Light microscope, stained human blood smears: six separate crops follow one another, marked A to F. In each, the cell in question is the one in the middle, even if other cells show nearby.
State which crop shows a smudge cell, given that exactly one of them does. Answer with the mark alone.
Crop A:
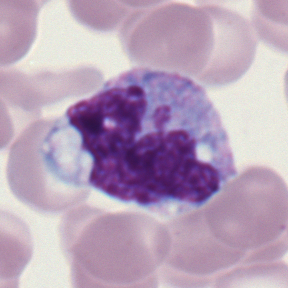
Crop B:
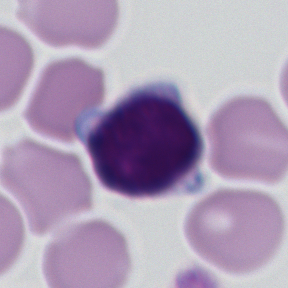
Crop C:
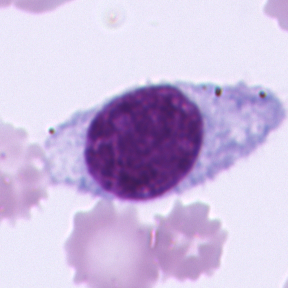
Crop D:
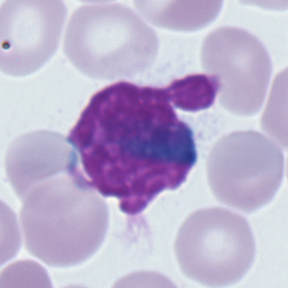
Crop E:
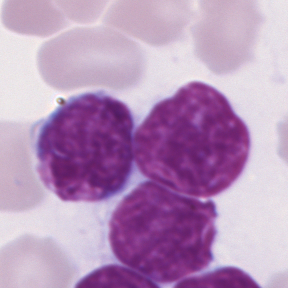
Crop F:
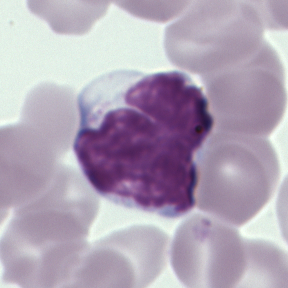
D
